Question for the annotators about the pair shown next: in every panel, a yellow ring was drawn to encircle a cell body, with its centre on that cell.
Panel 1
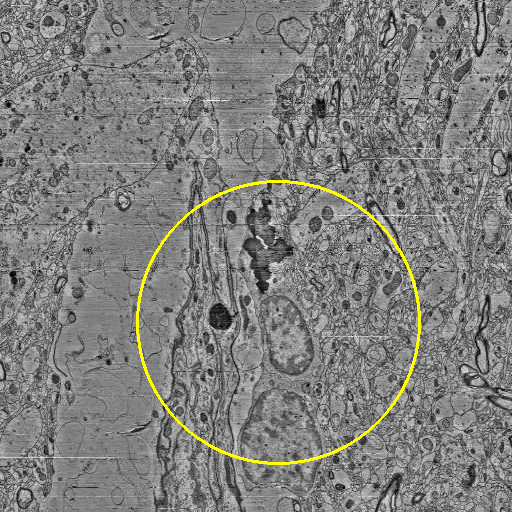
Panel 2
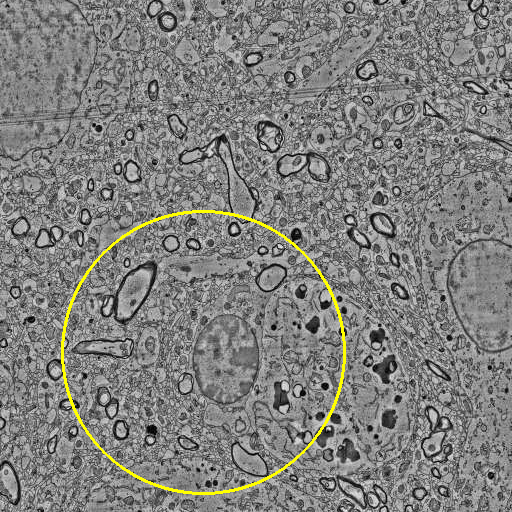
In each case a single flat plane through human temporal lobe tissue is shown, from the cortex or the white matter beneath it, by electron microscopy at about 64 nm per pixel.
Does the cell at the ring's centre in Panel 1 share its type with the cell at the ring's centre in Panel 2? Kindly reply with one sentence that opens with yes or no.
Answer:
No, in Panels 1 and 2 the cells at the ring centres belong to separate types.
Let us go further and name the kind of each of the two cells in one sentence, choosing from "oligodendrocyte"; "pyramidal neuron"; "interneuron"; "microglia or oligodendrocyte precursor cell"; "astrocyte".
The ring of the first picture is on an oligodendrocyte, the ring of the second on a microglial cell or oligodendrocyte precursor cell.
